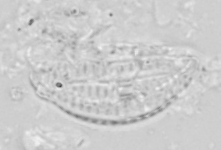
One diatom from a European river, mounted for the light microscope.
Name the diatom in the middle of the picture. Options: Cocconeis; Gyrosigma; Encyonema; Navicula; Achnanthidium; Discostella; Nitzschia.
Encyonema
